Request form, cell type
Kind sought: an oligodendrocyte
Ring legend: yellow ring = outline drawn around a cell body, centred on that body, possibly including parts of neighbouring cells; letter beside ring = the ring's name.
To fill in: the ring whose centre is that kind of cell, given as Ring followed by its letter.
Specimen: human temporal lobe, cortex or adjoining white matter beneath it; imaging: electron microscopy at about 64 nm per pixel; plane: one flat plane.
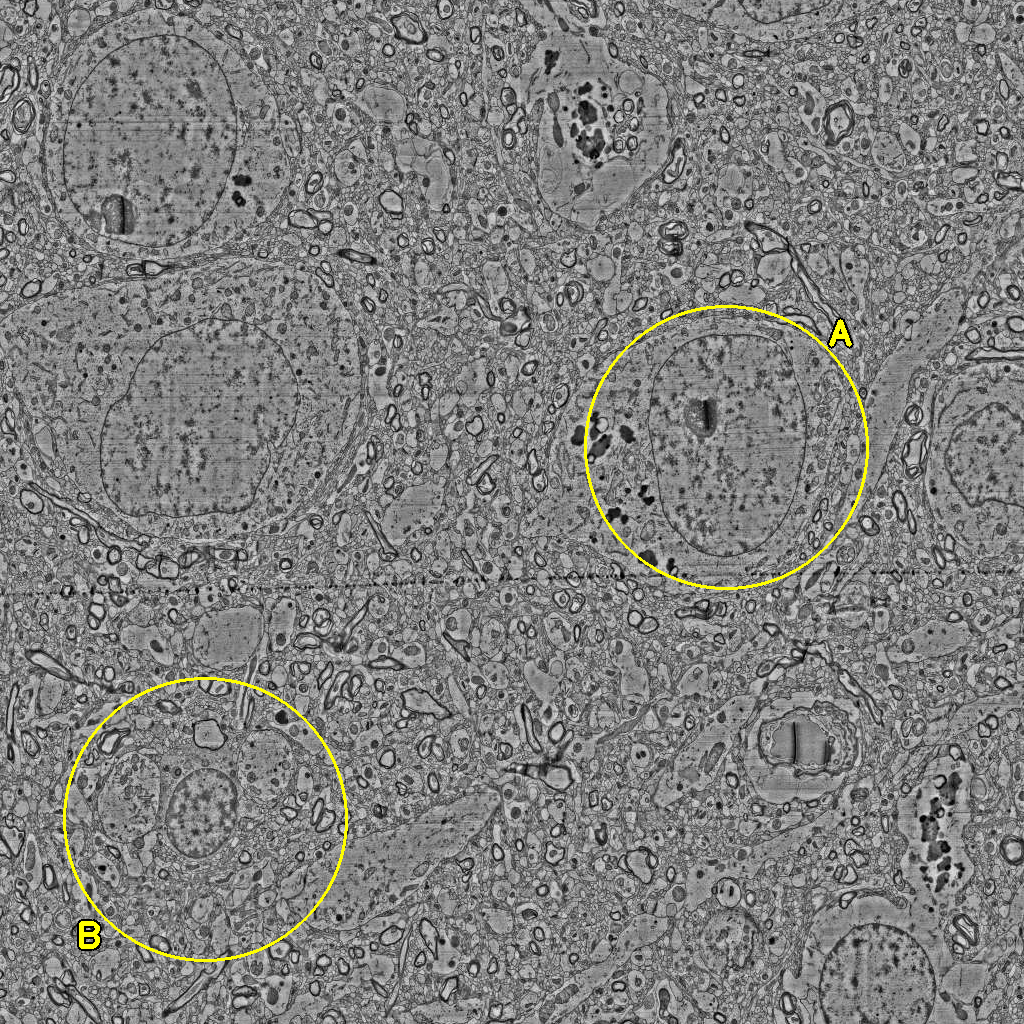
Ring B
